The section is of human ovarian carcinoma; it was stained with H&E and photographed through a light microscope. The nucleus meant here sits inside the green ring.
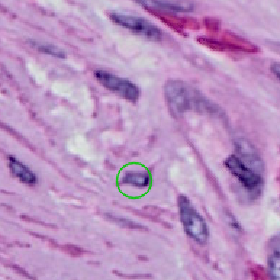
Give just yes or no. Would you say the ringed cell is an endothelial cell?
no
